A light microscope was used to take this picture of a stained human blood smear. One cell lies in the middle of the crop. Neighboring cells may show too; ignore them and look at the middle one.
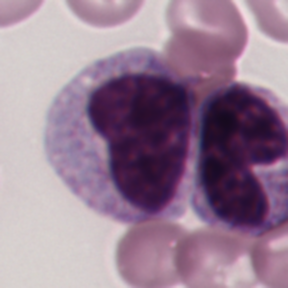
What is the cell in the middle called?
metamyelocyte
